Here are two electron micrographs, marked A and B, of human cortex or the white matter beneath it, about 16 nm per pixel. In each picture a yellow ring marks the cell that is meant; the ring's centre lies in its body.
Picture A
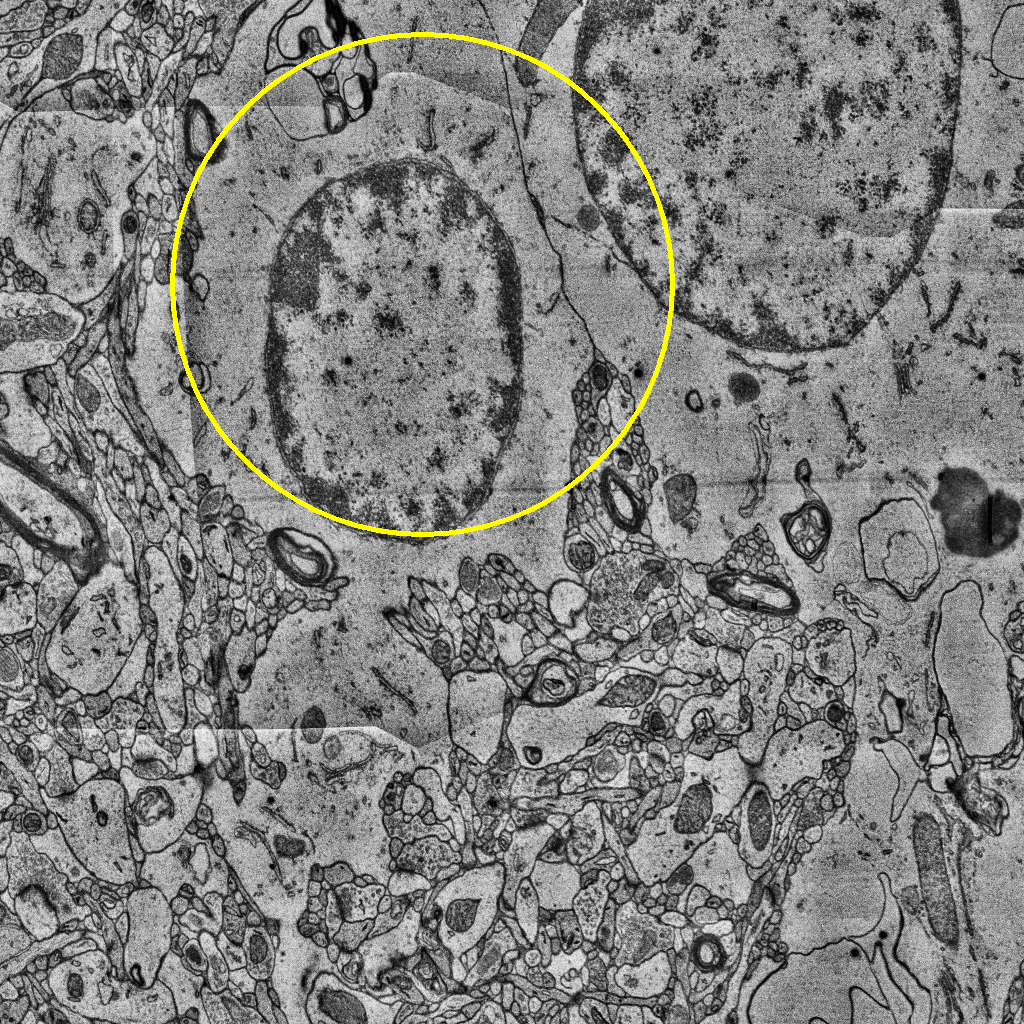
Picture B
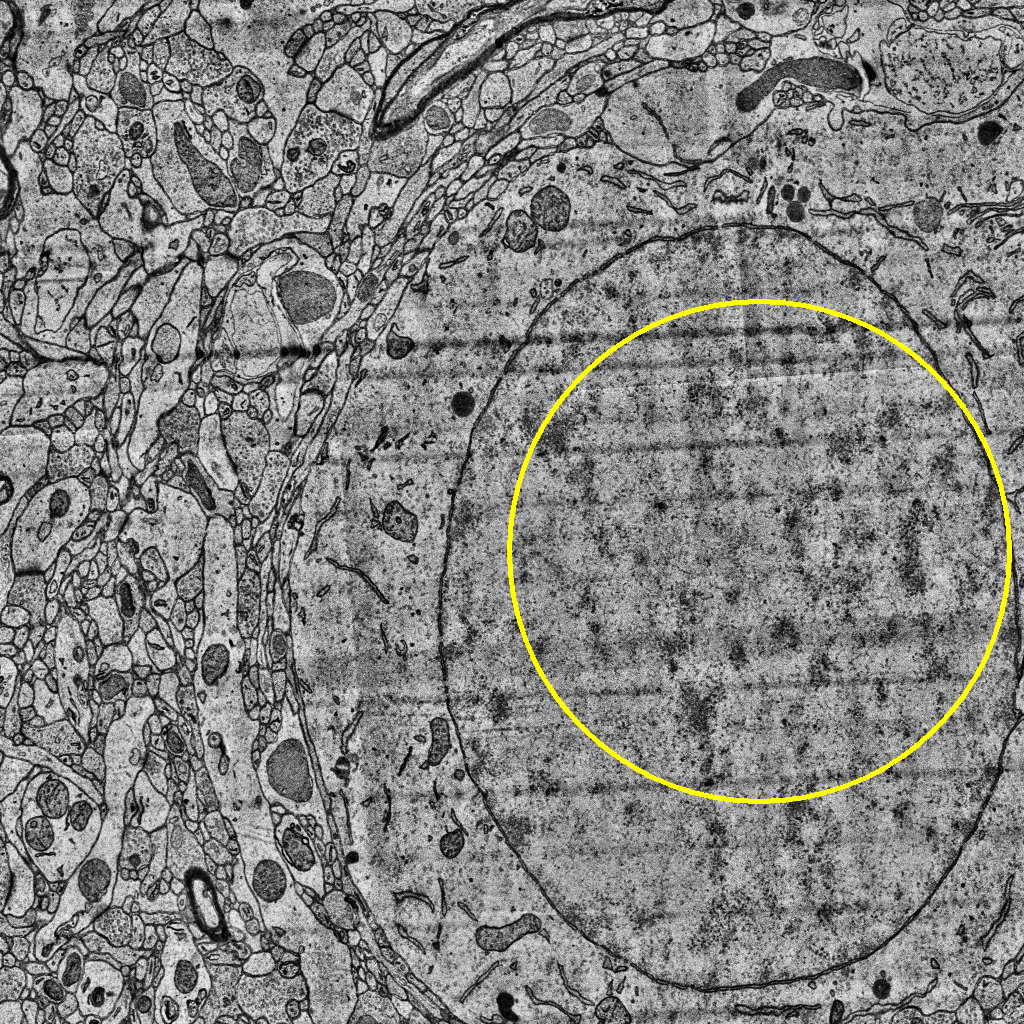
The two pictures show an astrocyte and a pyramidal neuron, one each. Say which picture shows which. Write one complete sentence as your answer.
Picture A is of an astrocyte, and picture B is of a pyramidal neuron.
